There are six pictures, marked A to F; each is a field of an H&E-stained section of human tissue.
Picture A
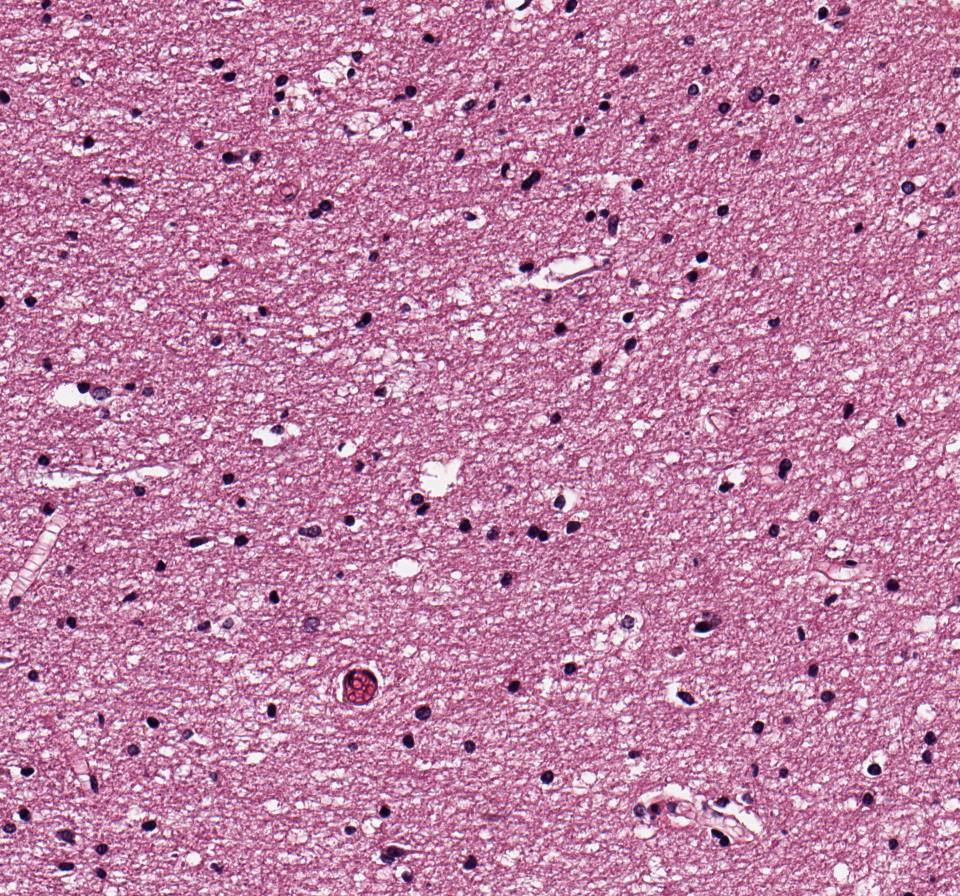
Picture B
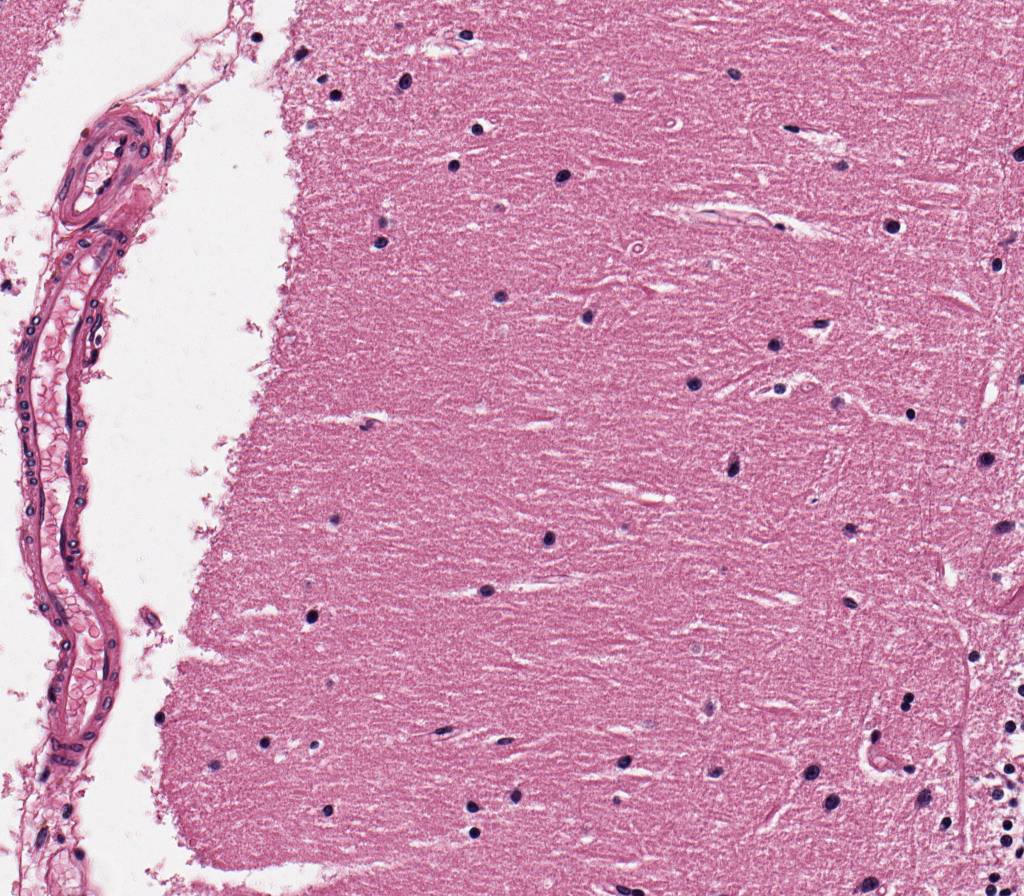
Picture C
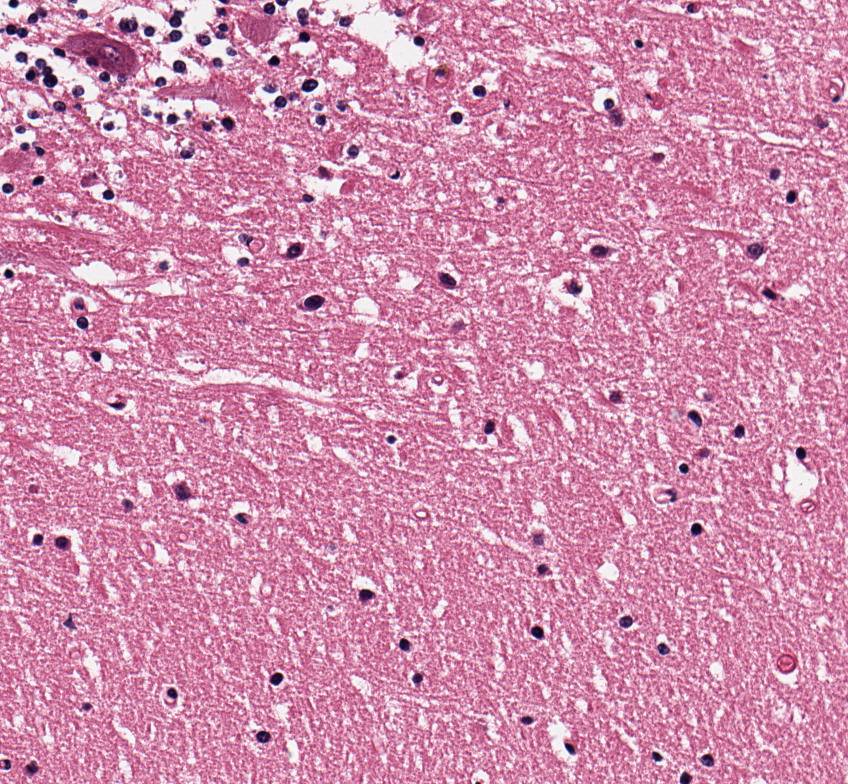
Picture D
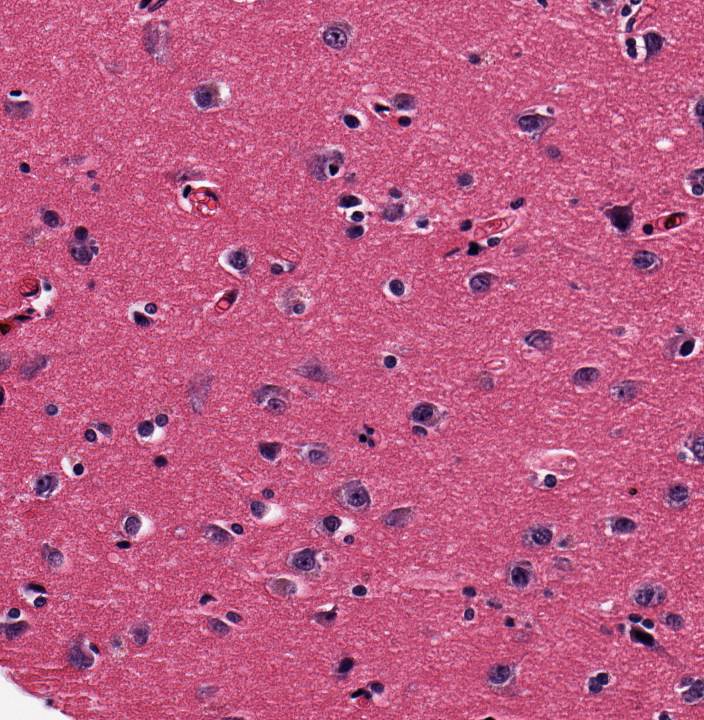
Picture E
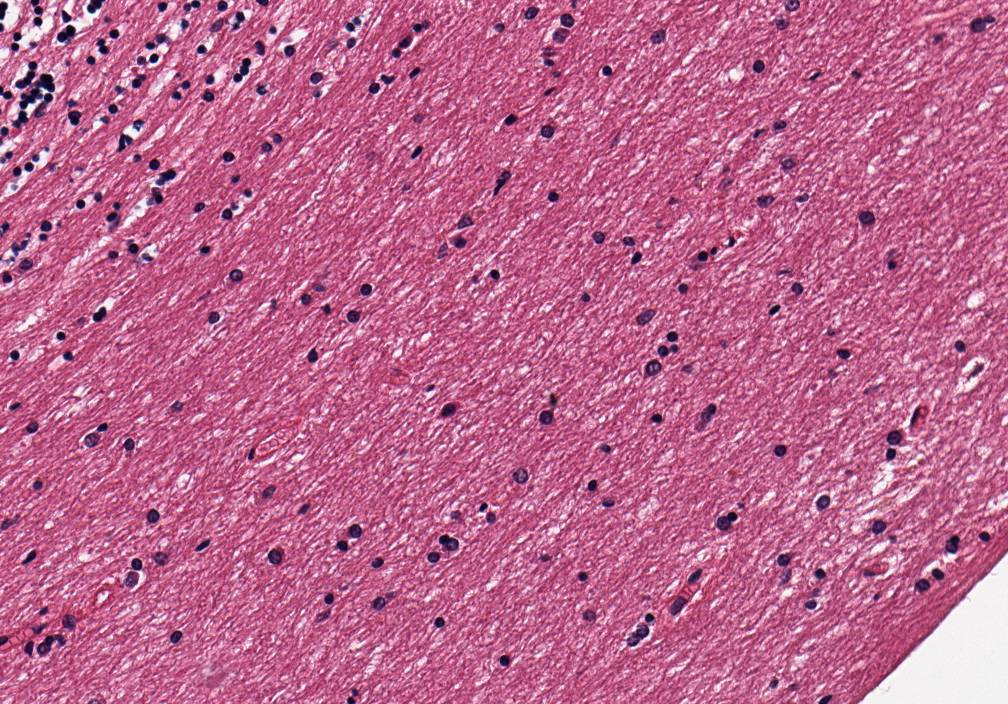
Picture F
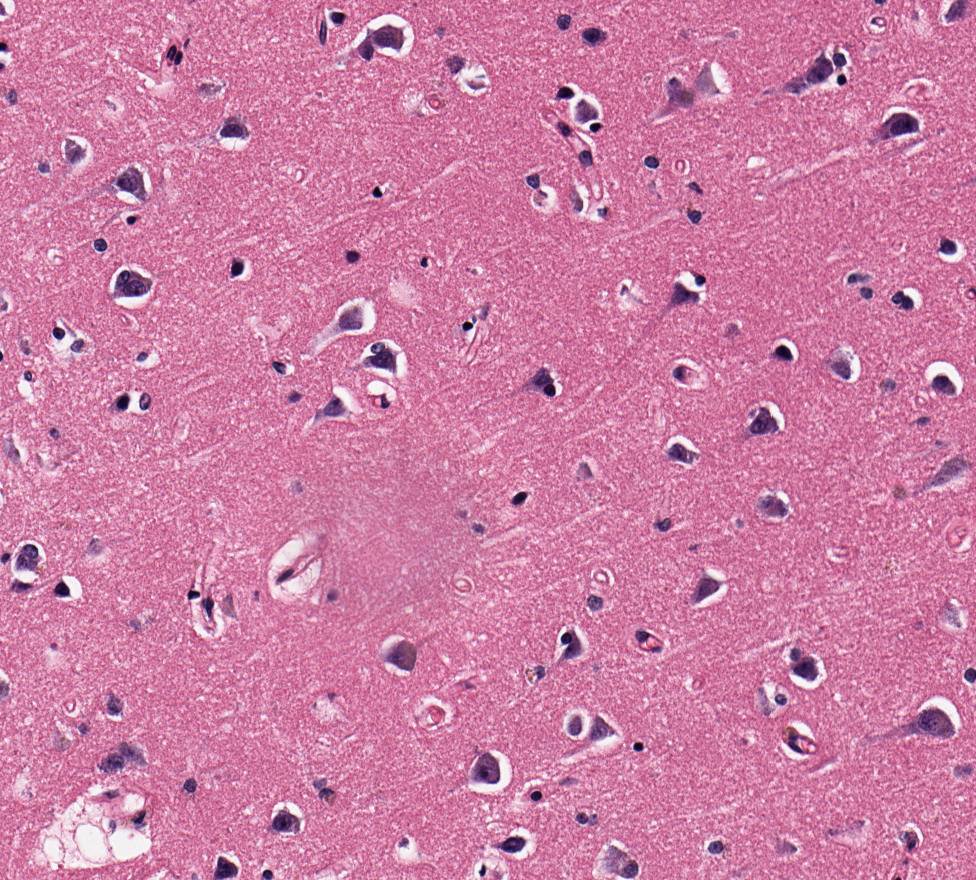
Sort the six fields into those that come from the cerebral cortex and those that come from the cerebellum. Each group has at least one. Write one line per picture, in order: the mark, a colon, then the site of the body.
A: cerebral cortex
B: cerebellum
C: cerebellum
D: cerebral cortex
E: cerebellum
F: cerebral cortex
